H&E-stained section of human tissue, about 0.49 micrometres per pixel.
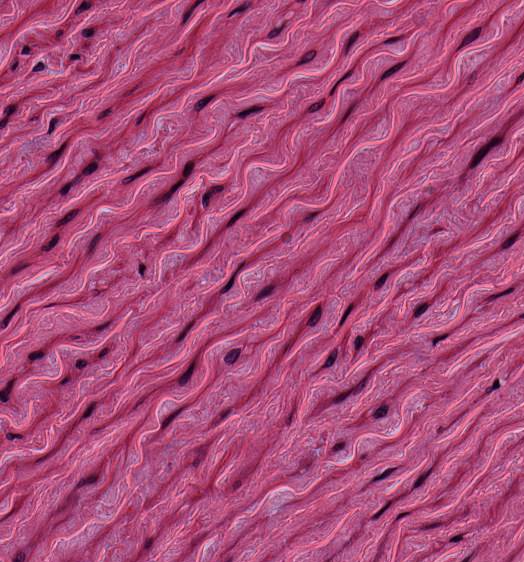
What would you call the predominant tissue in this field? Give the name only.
tunica media of an artery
